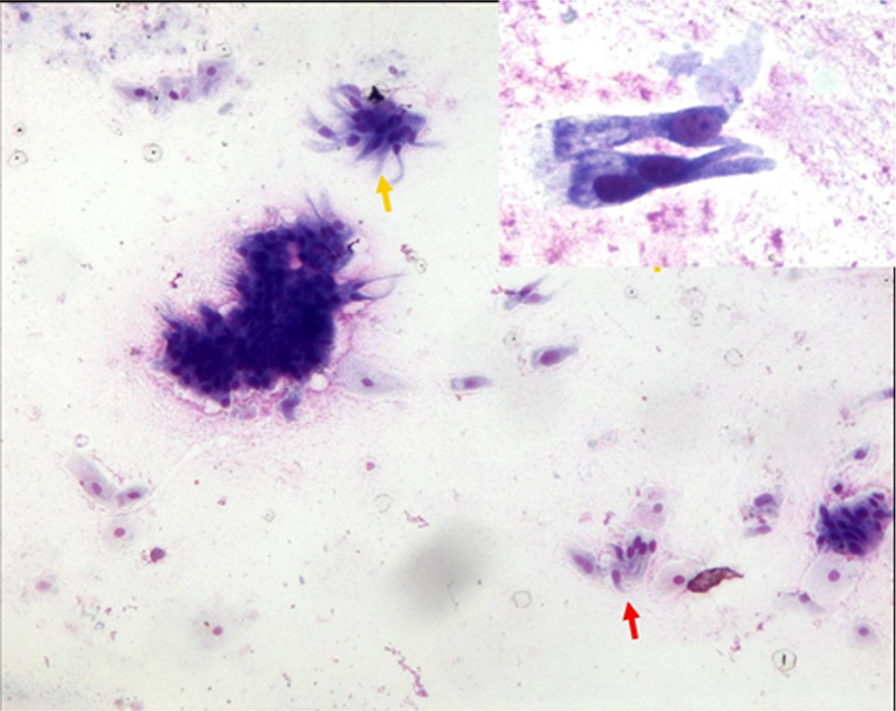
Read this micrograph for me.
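The largest aggregate is a dense, dark purple clump of crowded nuclei with elongated cell ends and fine projections fringing its edge. Smaller groups show elongated cells with round nuclei at one end and tapering tails, some lying side by side in a palisade with their nuclei lined up. Flatter squamous cells with small central nuclei and pale polygonal cytoplasm lie among them.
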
